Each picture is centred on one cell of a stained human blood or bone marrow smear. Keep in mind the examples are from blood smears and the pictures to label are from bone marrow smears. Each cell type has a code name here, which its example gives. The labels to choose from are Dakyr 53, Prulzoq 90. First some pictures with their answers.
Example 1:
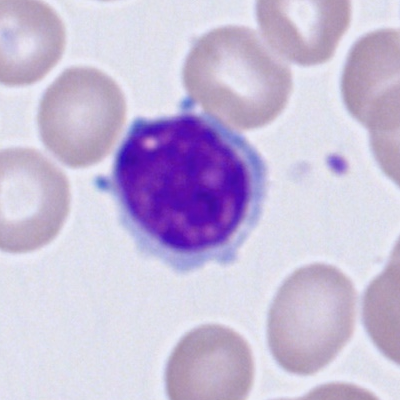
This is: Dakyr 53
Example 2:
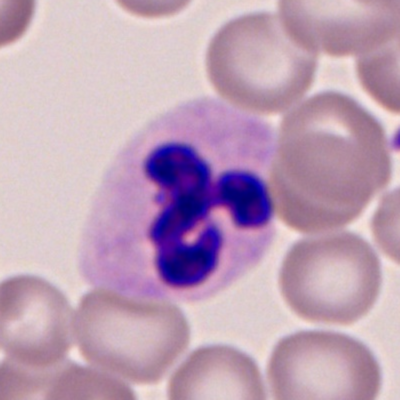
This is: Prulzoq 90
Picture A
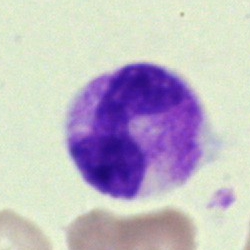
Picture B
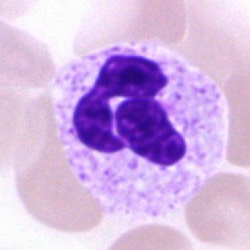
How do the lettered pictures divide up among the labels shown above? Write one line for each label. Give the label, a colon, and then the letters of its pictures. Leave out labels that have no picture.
Prulzoq 90: A, B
